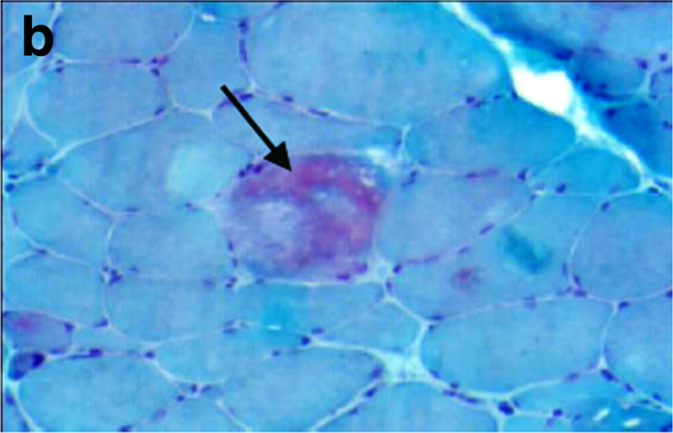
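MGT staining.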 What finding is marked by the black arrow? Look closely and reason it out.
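Abnormal material deposits. One fiber at the black arrow holds reddish-purple material.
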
